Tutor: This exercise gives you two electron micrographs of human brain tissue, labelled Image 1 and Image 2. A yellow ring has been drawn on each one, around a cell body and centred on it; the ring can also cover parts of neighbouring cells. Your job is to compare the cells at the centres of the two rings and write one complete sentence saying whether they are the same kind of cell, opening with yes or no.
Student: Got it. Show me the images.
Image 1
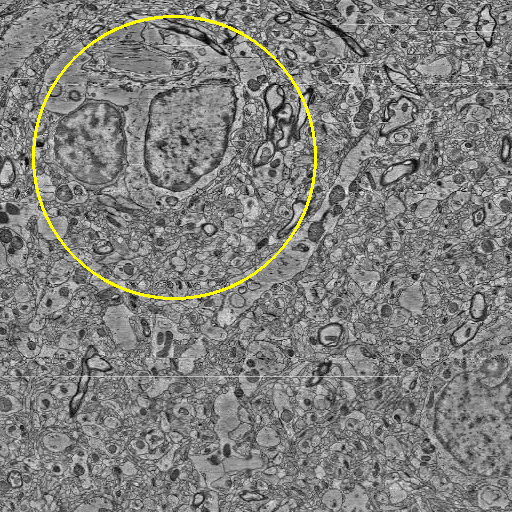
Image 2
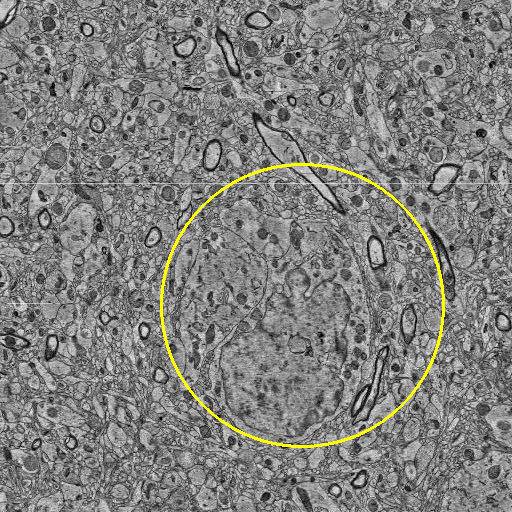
No, the two cells belong to two kinds.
